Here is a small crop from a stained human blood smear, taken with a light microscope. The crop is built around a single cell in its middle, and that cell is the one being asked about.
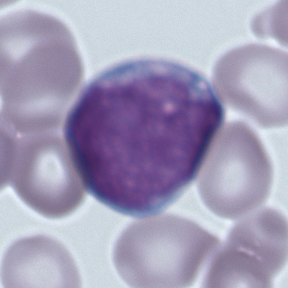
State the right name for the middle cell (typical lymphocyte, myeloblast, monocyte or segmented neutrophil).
myeloblast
